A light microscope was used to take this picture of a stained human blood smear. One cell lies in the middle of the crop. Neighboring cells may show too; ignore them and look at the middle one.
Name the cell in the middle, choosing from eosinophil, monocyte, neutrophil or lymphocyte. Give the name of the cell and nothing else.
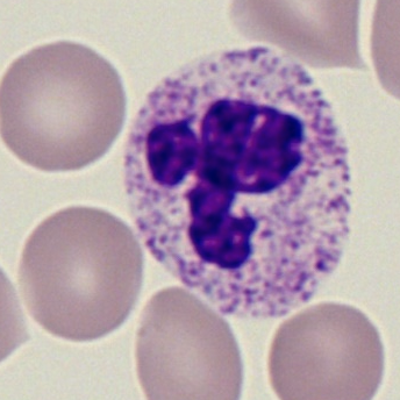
neutrophil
